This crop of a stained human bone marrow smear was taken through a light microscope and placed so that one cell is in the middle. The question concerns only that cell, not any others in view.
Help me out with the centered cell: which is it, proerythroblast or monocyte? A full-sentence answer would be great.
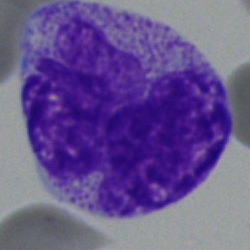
The cell of interest, located centrally, is a monocyte.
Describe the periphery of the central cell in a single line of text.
The membrane contour is even and smooth, with nothing projecting from it.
